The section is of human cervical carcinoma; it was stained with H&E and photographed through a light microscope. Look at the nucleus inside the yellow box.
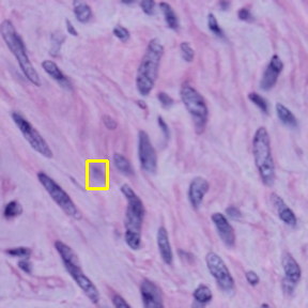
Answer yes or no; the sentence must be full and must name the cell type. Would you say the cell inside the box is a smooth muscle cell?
Yes, the cell inside the box has been classified as a smooth muscle cell.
